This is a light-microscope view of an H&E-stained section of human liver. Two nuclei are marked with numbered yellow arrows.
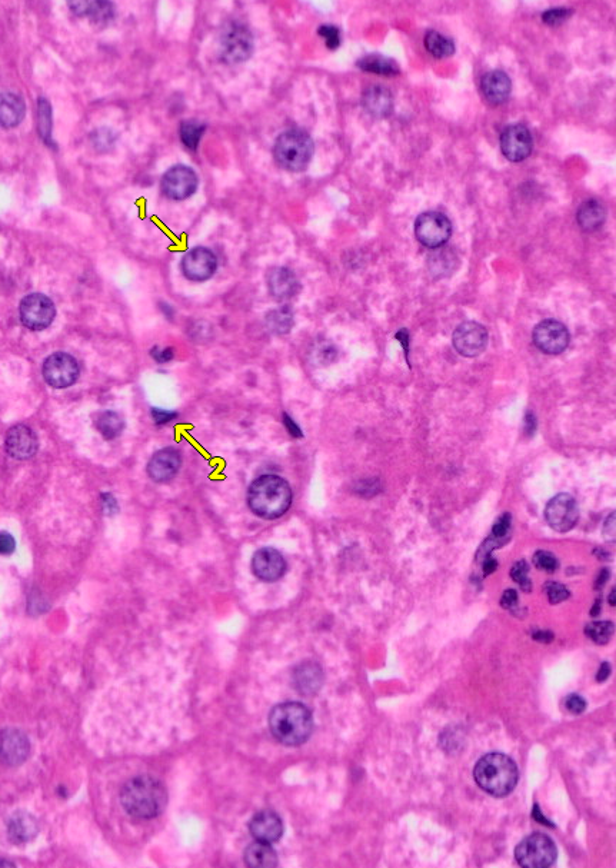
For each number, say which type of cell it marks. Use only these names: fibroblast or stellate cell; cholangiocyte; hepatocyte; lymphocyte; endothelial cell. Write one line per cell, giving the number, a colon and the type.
1: hepatocyte
2: endothelial cell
